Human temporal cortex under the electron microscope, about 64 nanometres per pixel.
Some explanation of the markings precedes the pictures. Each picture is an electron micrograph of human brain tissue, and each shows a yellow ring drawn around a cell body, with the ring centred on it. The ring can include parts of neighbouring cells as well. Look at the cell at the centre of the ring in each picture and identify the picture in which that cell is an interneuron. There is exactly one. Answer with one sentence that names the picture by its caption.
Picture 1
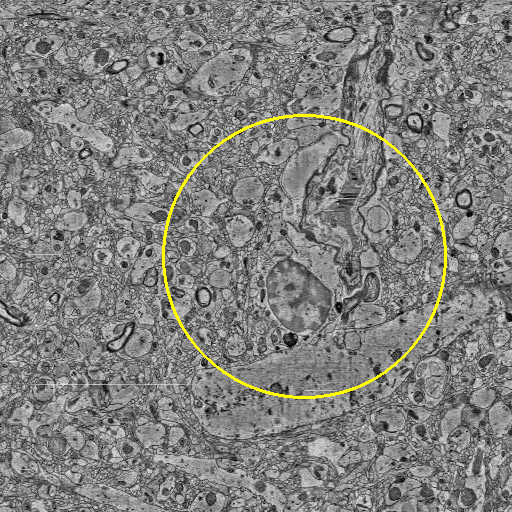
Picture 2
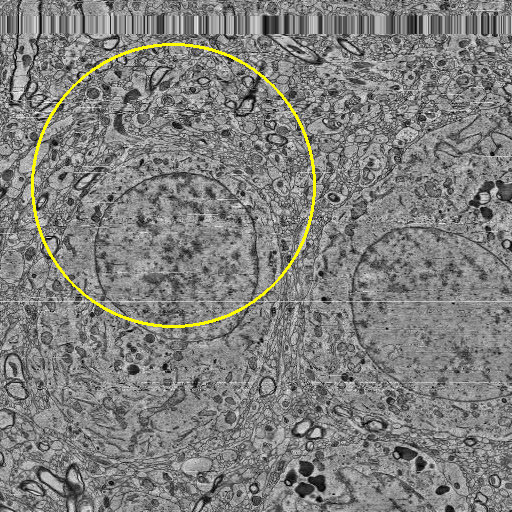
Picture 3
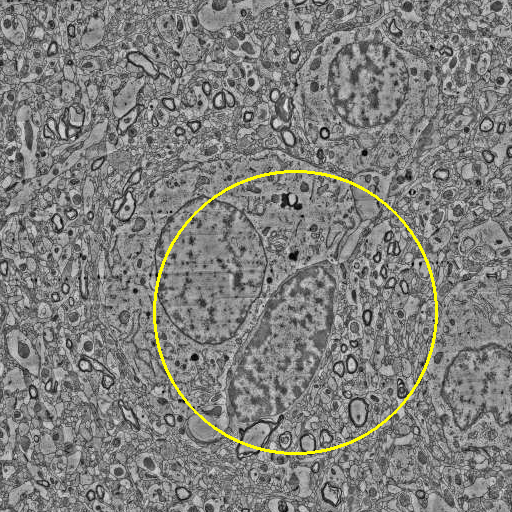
In Picture 2, the cell at the centre of the ring is of that kind.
